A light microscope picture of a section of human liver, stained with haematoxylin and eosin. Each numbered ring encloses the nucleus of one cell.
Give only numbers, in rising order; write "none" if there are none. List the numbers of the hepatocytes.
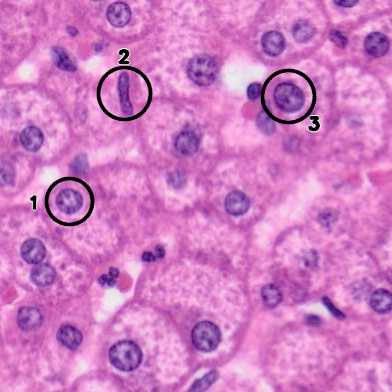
1, 3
